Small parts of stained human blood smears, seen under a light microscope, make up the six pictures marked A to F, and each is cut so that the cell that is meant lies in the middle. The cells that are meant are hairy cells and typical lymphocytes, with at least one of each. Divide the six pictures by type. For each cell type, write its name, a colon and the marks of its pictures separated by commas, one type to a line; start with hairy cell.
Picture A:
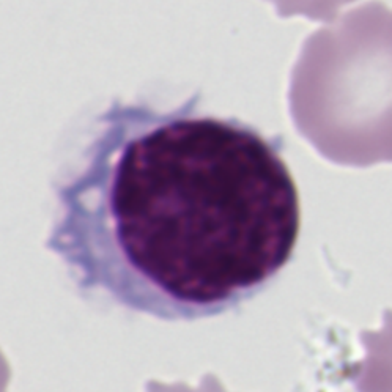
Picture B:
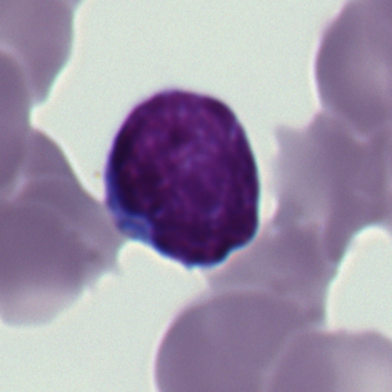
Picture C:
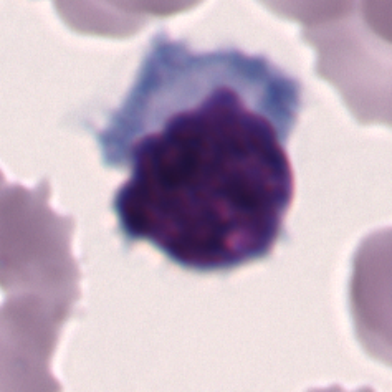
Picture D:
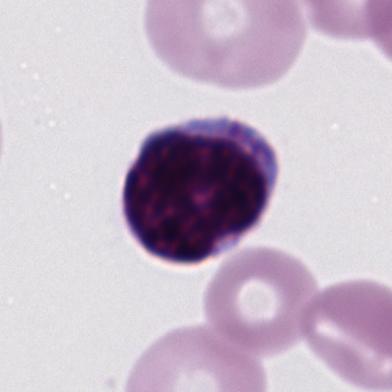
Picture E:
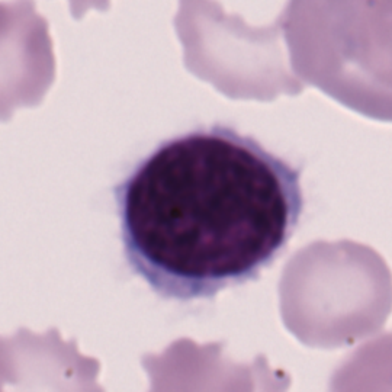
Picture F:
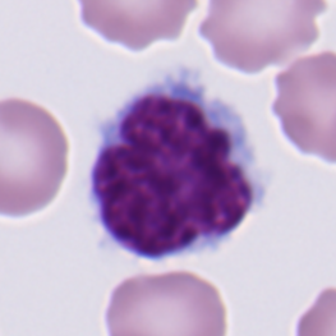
hairy cell: A, C, E, F
typical lymphocyte: B, D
